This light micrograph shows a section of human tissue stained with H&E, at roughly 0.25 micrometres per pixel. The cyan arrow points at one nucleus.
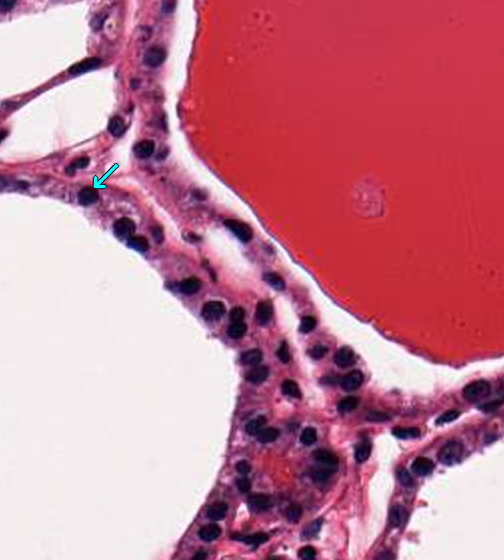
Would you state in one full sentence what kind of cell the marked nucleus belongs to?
The marked nucleus is that of a thyroid follicular cell.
